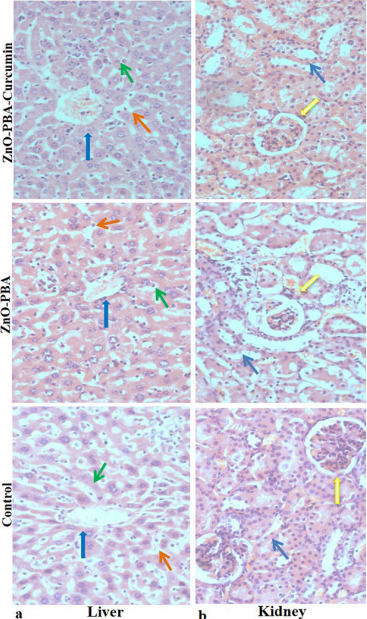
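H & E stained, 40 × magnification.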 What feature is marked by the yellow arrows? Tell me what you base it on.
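Glomerulus. The yellow arrows point to rounded tufts of densely nucleated tissue in the right column. Each tuft is surrounded by a thin clear space and capsule.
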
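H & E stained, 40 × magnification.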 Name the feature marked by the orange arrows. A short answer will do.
Sinusoids.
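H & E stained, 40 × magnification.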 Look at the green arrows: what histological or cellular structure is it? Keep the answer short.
hepatic cords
